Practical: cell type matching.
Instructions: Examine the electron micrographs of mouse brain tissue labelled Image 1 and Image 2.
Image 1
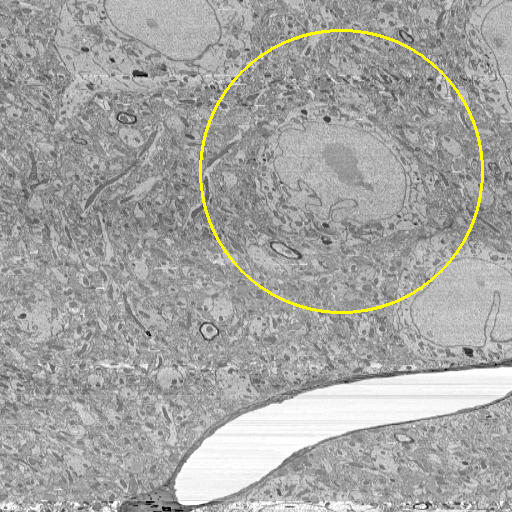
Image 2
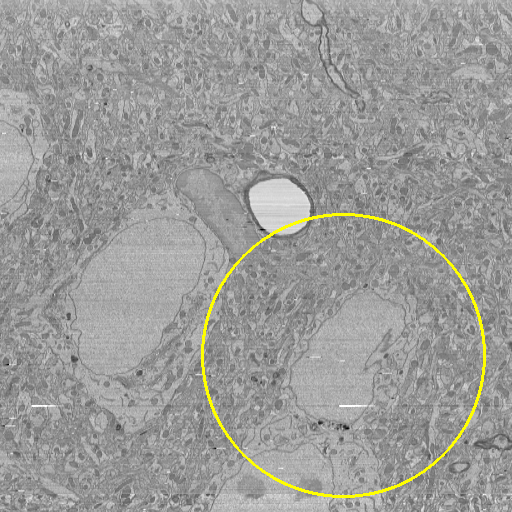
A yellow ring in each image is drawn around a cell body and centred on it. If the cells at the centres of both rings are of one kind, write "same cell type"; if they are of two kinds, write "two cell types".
same cell type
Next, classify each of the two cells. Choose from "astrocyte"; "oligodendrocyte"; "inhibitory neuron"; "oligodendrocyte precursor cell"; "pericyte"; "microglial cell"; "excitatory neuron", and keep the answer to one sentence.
In both pictures the ring is centred on an inhibitory neuron.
